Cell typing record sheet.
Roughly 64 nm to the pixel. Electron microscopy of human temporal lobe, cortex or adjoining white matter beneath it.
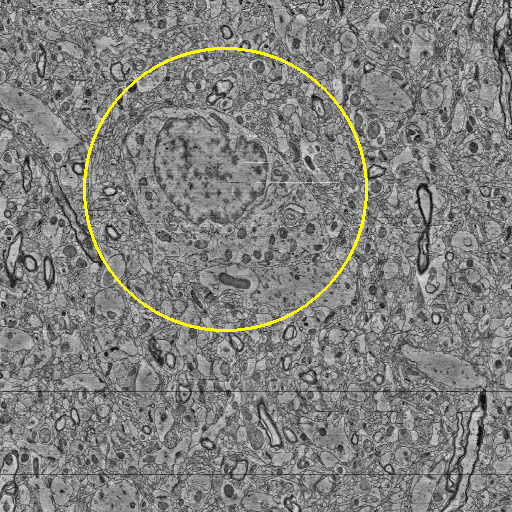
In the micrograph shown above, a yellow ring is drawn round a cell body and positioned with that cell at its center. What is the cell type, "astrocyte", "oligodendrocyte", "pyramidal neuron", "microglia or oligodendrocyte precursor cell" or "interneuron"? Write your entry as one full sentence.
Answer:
The cell body at the center of the ring belongs to an interneuron.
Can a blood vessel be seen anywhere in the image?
No, none is visible.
